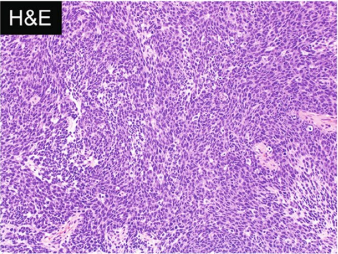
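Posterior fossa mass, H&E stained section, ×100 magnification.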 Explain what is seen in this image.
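A small round blue cell tumor at low power, forming diffuse, highly cellular sheets that fill the field. In places the cells stream in vague fascicles or swirls. No normal brain tissue or organized layering is visible, and there is little stroma separating the tumor cells.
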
